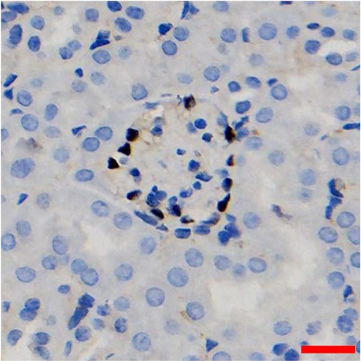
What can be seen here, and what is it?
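The brown nuclei lie mostly around the outer edge of the tuft, while nuclei deeper inside stay blue. The surrounding tubule cells are larger, with pale cytoplasm and round blue nuclei, and show no brown nuclei.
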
